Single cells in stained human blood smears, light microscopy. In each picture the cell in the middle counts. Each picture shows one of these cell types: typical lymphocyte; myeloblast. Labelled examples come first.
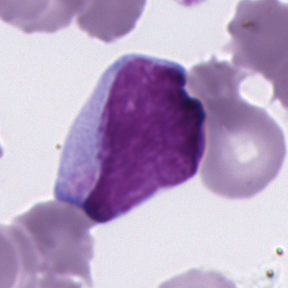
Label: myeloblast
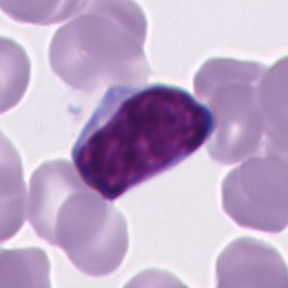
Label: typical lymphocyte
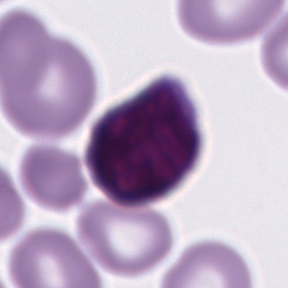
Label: myeloblast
